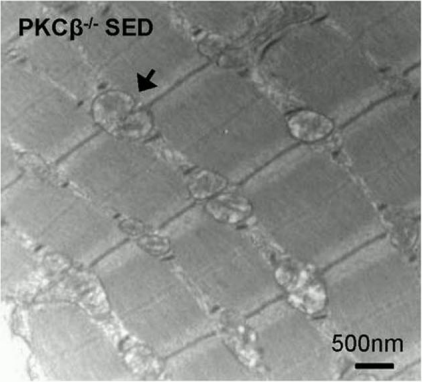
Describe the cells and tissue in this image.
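This electron micrograph shows skeletal muscle cut longitudinally, with closely packed myofibrils crossed by regular dark Z-lines giving a sarcomere pattern. Mitochondria lie between the myofibrils at the level of the Z-lines, often in pairs flanking each line. They are compact oval organelles with an outer membrane and visible internal cristae. The spaces between the myofibrils are narrow and orderly, without the pale swollen areas of damaged muscle.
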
